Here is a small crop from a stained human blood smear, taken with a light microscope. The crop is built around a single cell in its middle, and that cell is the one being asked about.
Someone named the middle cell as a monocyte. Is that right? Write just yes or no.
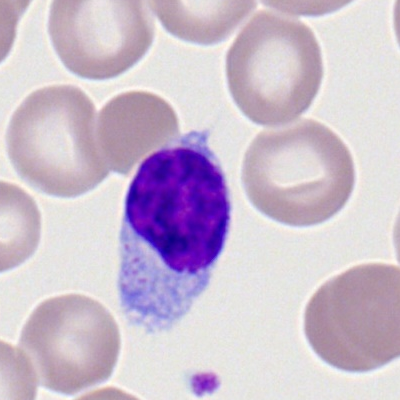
no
